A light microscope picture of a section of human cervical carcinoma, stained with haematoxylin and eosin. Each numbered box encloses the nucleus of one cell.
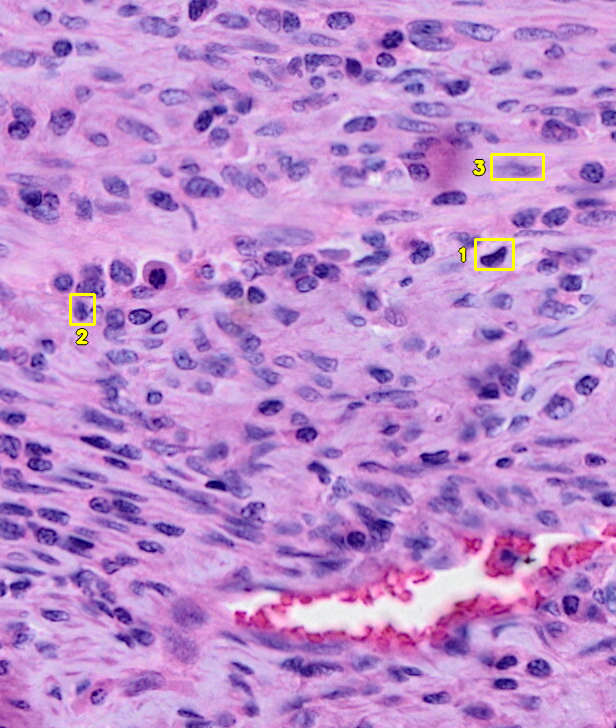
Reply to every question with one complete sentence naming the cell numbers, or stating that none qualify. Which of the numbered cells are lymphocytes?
When it comes to cells 1 and 2, they are lymphocytes.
